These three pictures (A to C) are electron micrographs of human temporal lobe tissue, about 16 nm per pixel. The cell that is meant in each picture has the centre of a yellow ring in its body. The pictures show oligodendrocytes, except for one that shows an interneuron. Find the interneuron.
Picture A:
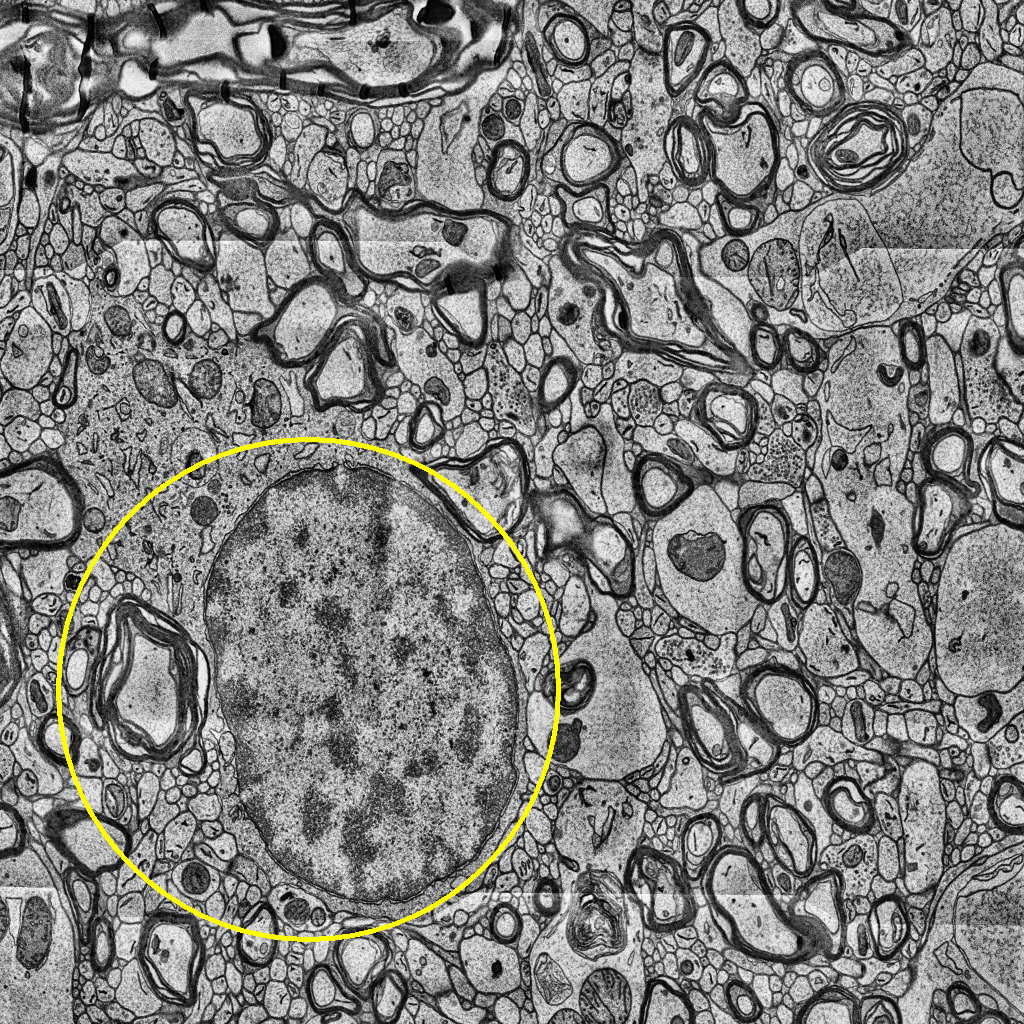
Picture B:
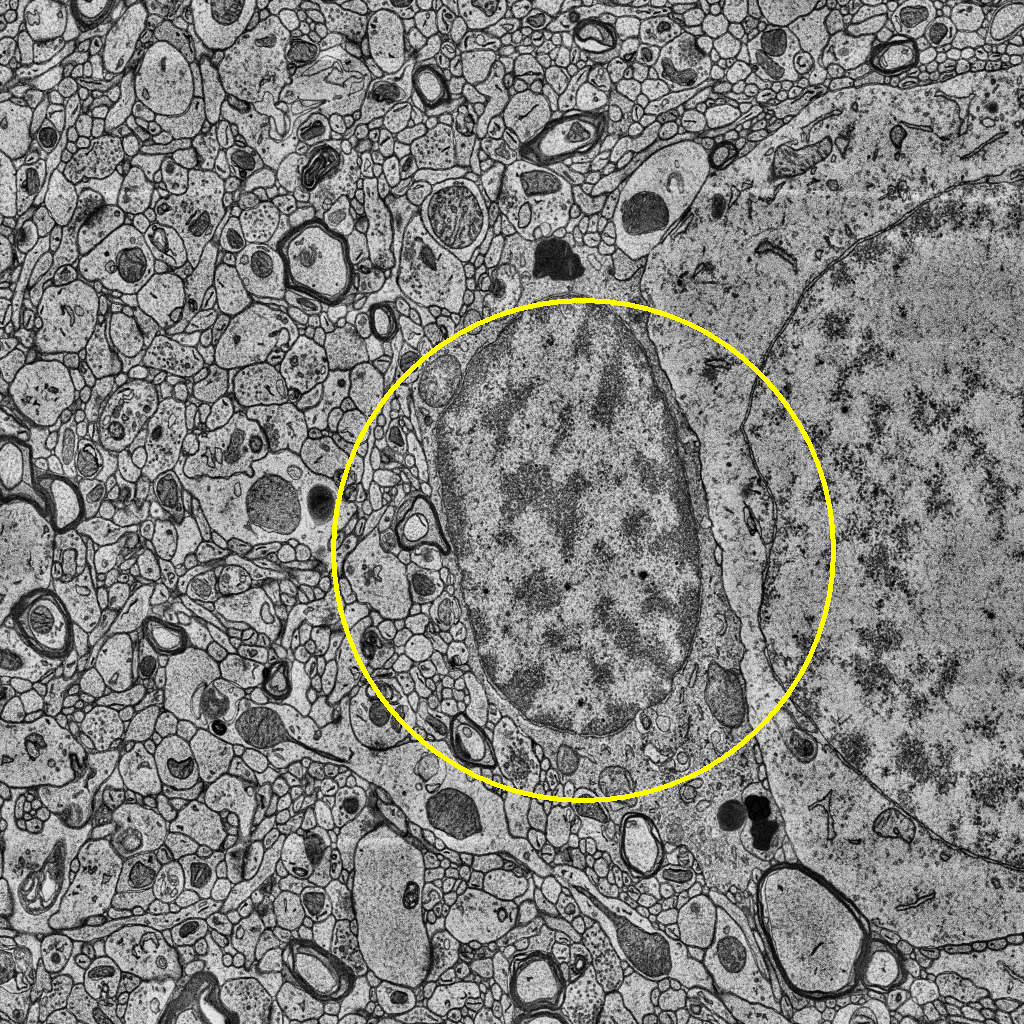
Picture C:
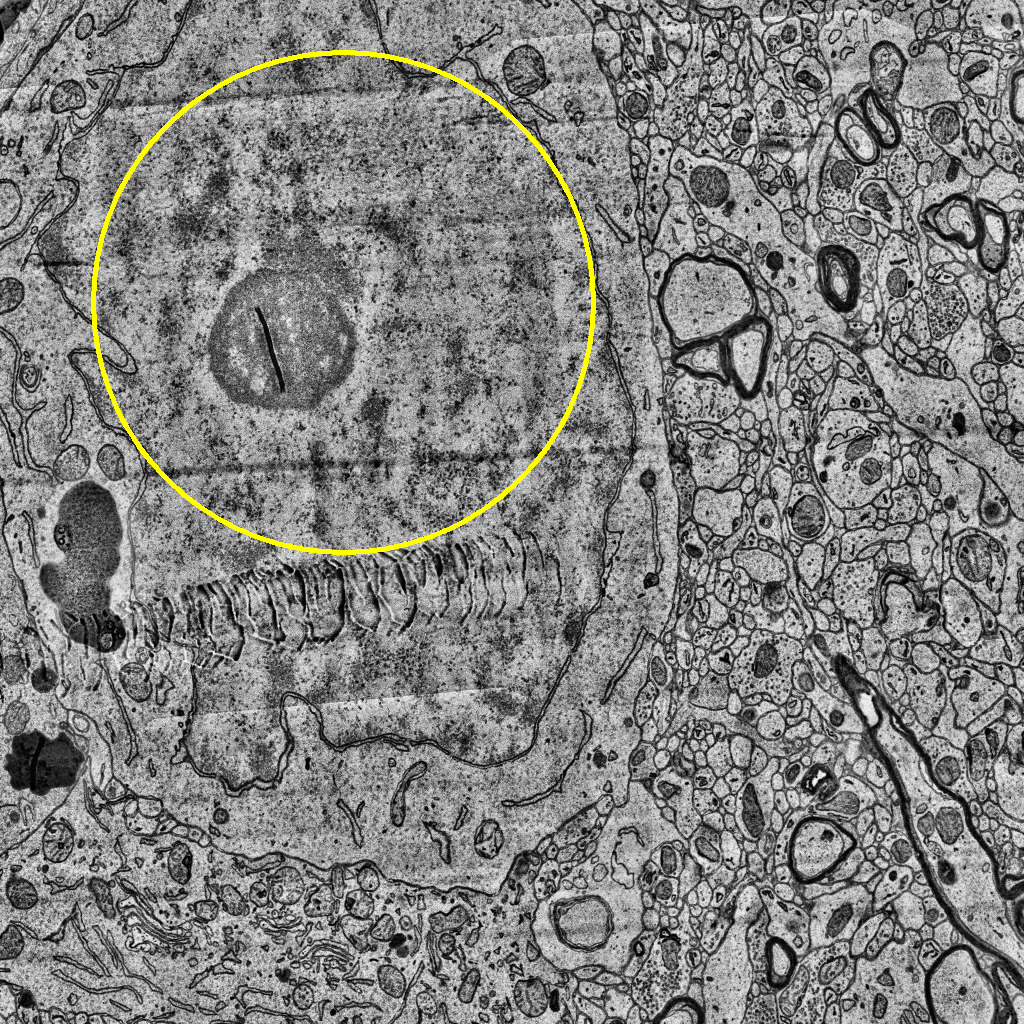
The cell in picture C is the interneuron.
